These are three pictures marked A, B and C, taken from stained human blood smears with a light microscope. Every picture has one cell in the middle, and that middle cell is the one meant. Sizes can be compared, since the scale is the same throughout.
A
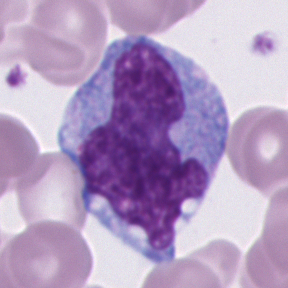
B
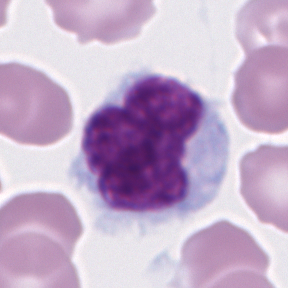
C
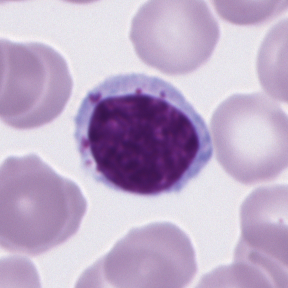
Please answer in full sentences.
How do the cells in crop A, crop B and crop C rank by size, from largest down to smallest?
Largest first: A, B, C.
